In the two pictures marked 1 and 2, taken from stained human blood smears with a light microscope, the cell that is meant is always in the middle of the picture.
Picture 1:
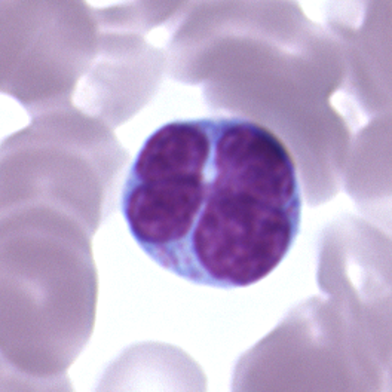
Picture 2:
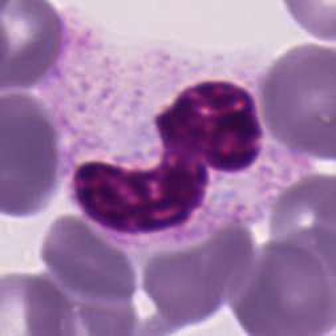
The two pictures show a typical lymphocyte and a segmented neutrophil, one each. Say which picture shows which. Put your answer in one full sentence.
It is picture 1 that shows a typical lymphocyte, and picture 2 that shows a segmented neutrophil.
